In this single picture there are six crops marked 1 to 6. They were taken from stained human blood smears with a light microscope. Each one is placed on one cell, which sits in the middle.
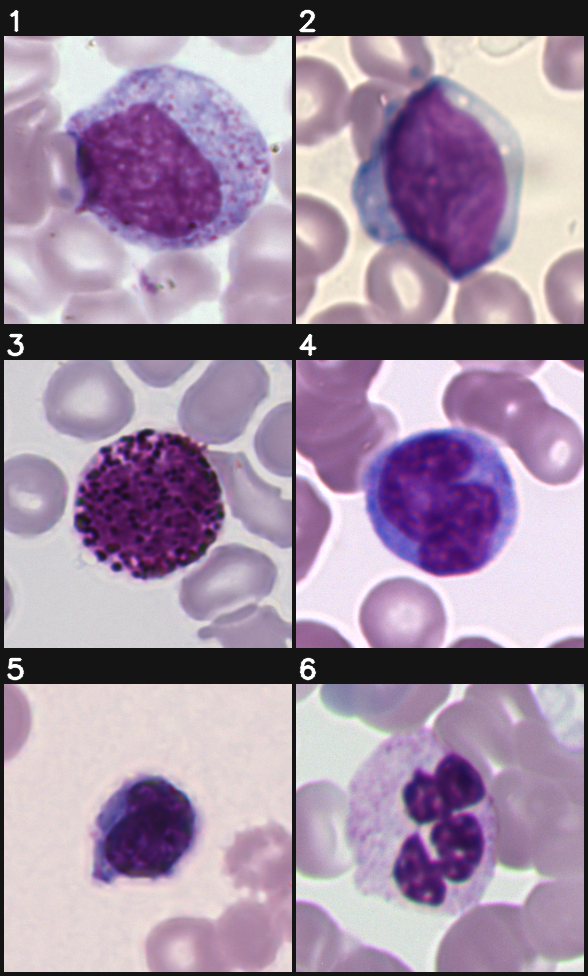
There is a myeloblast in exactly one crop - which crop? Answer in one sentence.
Crop 2 is the one that shows a myeloblast.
